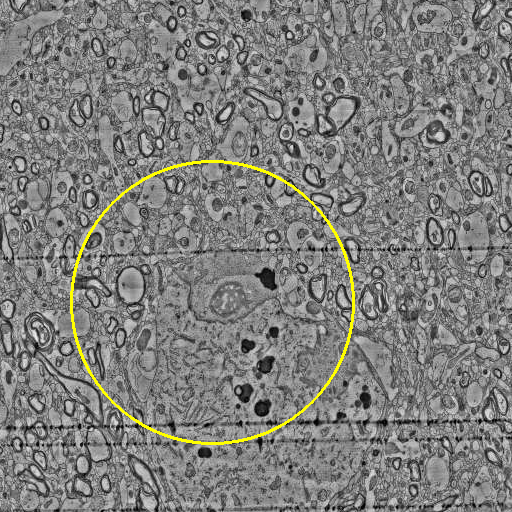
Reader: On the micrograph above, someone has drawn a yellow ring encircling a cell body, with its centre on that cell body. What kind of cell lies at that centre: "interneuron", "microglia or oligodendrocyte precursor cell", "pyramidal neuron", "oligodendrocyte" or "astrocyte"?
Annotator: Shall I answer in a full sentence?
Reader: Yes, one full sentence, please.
Here an oligodendrocyte sits at the centre of the yellow ring drawn on the micrograph.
